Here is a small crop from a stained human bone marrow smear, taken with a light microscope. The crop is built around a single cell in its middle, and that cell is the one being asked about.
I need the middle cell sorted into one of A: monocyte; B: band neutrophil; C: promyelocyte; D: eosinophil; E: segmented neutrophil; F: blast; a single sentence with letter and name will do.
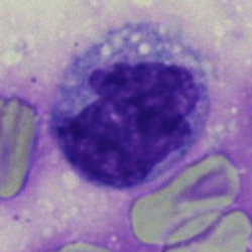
Option A is the right one, for the cell in the middle is a monocyte.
